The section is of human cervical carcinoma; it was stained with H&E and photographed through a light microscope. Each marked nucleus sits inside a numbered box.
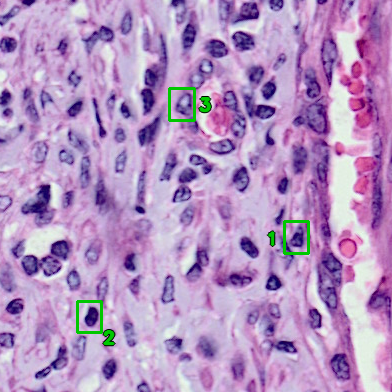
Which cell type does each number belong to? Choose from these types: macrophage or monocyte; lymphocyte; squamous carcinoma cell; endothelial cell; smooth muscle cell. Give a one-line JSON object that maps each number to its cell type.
{"1": "lymphocyte", "2": "lymphocyte", "3": "endothelial cell"}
